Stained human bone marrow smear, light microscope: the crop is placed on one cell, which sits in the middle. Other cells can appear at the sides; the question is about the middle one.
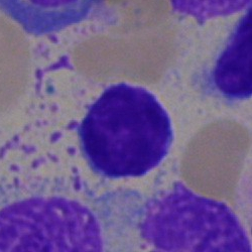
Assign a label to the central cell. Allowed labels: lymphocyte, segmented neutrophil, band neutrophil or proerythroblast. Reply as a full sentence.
The cell marked by its central position in the crop is a lymphocyte.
